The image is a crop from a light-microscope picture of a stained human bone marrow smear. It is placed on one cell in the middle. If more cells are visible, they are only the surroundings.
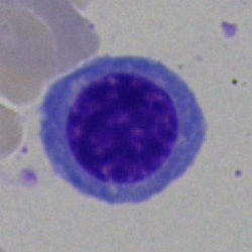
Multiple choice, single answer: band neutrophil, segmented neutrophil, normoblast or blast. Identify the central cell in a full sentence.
By type, the central cell of the crop is a normoblast.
